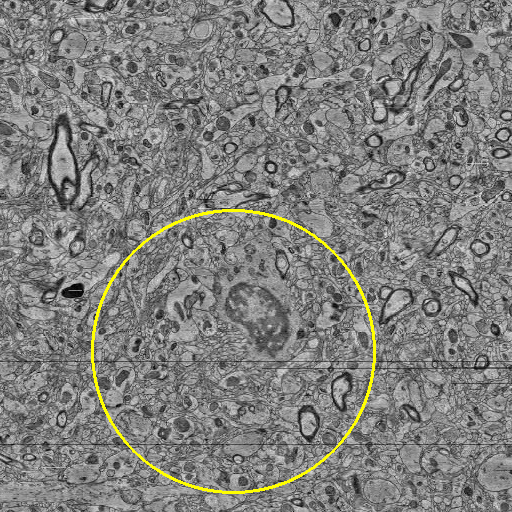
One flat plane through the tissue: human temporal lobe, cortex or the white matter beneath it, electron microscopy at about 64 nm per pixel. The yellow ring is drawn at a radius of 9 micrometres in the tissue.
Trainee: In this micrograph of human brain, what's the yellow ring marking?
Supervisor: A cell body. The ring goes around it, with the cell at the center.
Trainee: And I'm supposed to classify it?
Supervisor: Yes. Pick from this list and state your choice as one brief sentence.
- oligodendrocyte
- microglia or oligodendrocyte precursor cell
The cell at the ring's center is an oligodendrocyte.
